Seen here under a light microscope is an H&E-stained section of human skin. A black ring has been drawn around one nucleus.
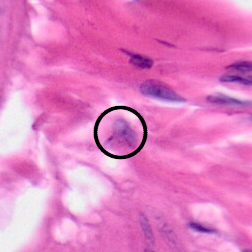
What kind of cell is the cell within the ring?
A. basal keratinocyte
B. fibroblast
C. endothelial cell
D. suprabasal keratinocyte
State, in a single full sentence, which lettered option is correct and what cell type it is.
The item is answered by option B: the cell within the ring is a fibroblast.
